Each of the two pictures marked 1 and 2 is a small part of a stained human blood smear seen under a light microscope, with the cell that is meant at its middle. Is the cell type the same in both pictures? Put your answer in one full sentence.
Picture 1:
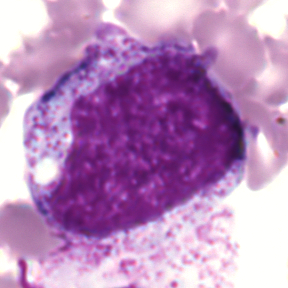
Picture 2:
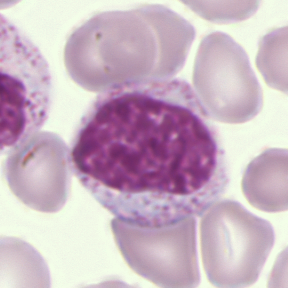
No, the types are not the same, since picture 1 shows a myelocyte and picture 2 a metamyelocyte.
